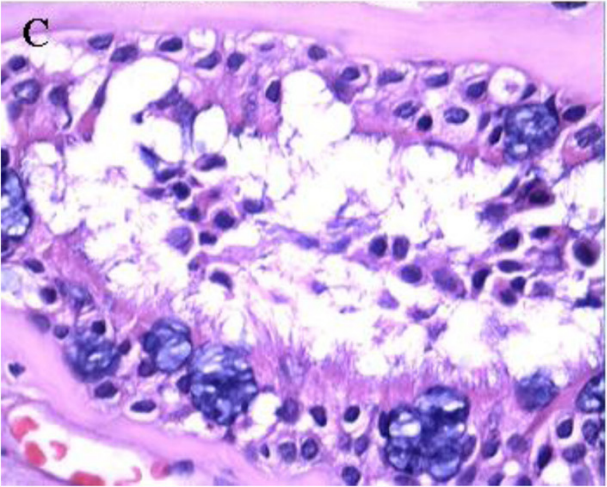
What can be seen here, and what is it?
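At high magnification a gland lining is seen with columnar epithelial cells whose nuclei are round to oval and dark purple. Many of the lining cells contain rounded clusters of dark blue-purple globules filling their cytoplasm, giving them a bubbly appearance. Between them the cytoplasm of other cells is pink, and the lumen is filled with pale, frothy, loosely fibrillar material. A thick pink homogeneous band borders the gland above and below, and red blood cells lie at the lower left corner. The mucin-laden cells are goblet cells within the respiratory-type lining.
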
